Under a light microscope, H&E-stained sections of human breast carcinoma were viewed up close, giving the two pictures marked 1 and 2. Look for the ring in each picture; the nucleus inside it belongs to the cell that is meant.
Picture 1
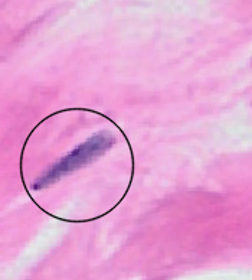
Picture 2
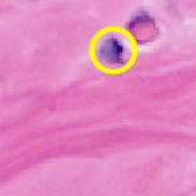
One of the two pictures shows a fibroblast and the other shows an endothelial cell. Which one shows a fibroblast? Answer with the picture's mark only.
1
